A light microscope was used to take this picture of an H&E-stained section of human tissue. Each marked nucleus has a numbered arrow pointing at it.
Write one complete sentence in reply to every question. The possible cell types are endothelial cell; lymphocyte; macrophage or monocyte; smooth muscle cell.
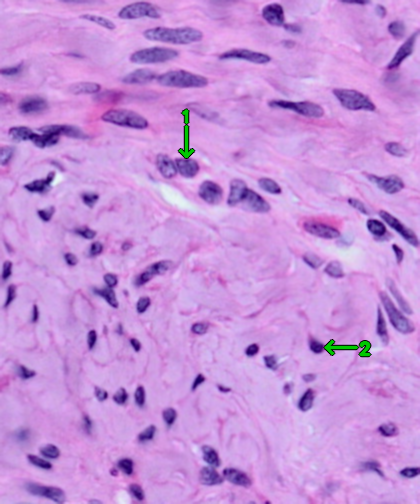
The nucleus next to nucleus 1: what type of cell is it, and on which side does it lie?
The nearest nucleus is that of an endothelial cell and lies to the left of nucleus 1.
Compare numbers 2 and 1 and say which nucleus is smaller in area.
Number 2 is smaller, since number 1 takes up about 2.5 times as much area.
